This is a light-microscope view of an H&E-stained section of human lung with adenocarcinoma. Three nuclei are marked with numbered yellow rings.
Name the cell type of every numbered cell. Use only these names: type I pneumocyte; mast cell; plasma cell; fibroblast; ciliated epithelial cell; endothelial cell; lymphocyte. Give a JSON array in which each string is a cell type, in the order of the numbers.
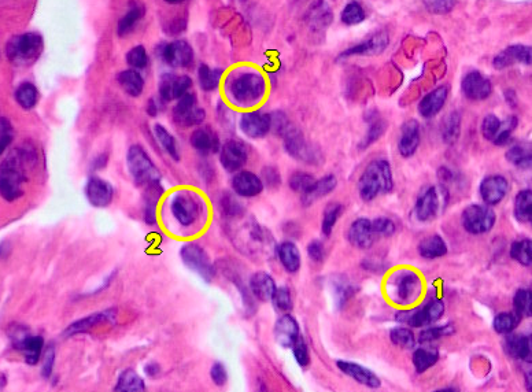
["plasma cell", "lymphocyte", "lymphocyte"]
